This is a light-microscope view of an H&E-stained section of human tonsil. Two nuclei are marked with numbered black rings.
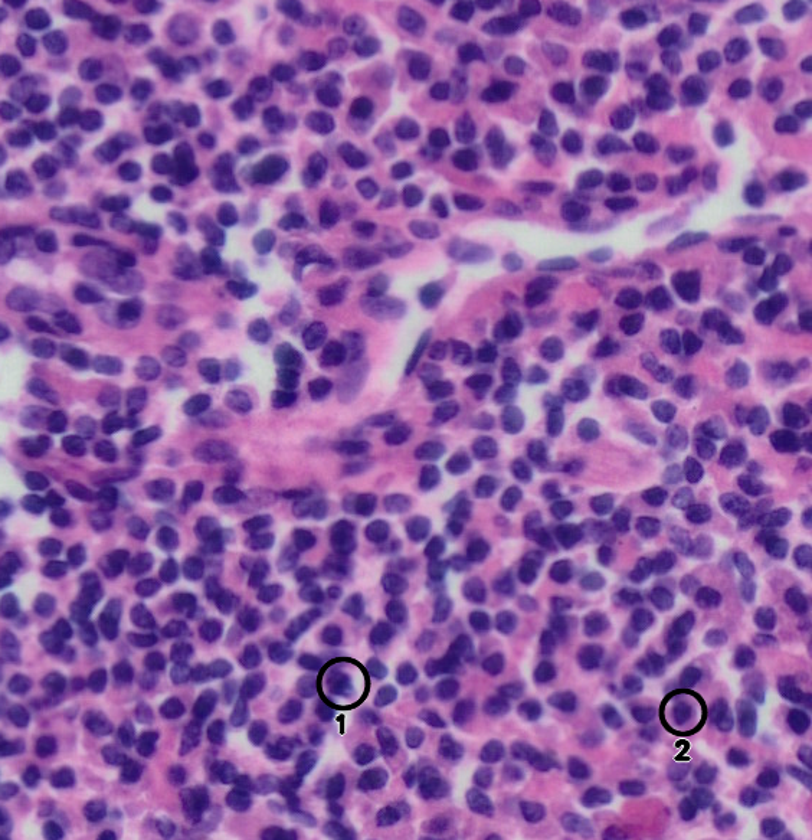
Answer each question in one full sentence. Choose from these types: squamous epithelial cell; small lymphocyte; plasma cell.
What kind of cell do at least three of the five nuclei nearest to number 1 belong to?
Of the five nuclei nearest to number 1, most belong to small lymphocytes.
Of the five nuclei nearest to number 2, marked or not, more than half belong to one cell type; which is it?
Around number 2, most of the five nearest nuclei are those of plasma cells.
